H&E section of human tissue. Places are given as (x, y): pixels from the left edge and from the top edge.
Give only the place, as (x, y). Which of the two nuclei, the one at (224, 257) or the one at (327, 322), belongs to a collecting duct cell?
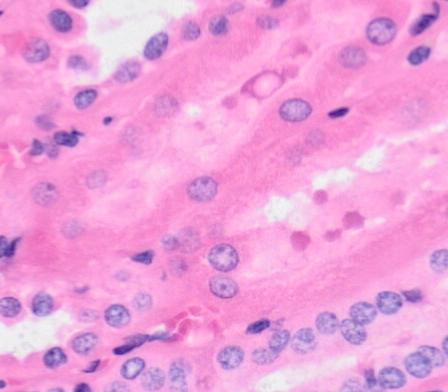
(327, 322)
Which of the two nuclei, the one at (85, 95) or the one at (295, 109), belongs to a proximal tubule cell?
(295, 109)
